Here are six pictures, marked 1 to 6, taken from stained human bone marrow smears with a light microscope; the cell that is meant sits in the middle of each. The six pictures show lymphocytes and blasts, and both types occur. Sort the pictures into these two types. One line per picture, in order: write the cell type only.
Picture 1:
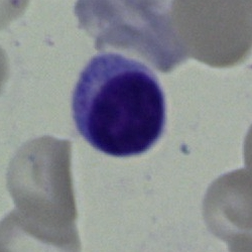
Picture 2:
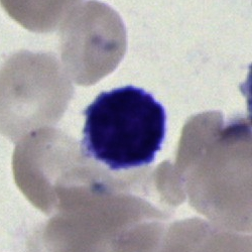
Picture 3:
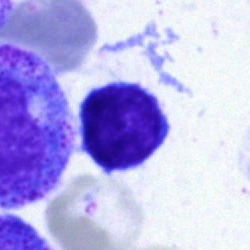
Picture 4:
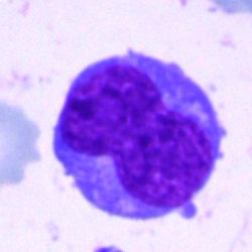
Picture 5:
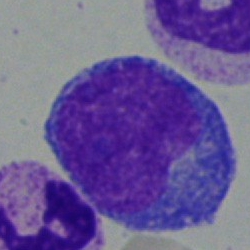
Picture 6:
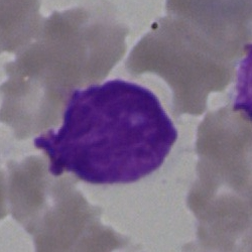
lymphocyte
lymphocyte
lymphocyte
blast
blast
lymphocyte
